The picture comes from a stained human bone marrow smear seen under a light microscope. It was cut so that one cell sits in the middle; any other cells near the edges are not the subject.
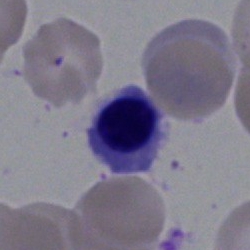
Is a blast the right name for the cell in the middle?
no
